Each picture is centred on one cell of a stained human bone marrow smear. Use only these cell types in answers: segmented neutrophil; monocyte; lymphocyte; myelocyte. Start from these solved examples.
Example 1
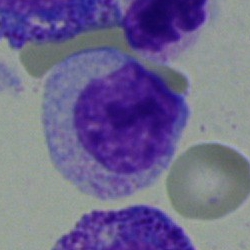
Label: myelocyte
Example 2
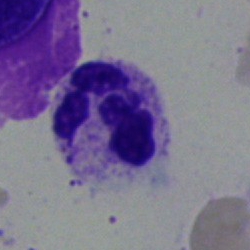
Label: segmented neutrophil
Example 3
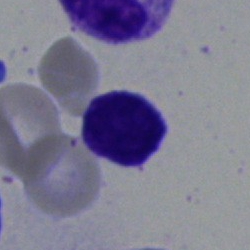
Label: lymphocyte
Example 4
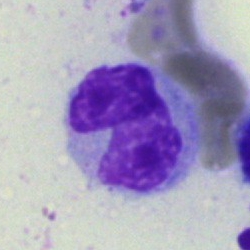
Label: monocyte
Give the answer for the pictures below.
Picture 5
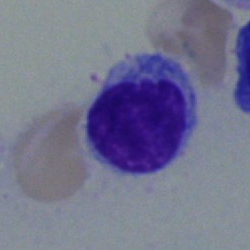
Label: lymphocyte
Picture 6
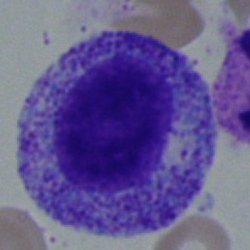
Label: myelocyte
